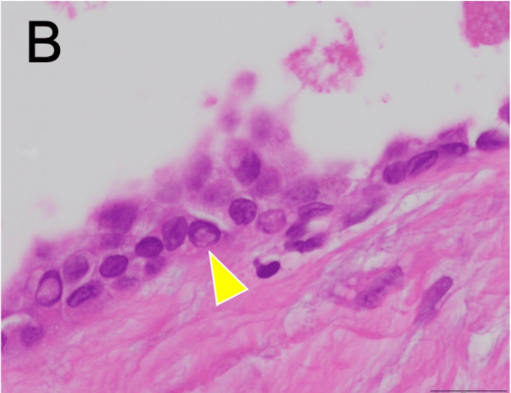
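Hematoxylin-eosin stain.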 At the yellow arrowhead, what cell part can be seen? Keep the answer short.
Intranuclear inclusions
